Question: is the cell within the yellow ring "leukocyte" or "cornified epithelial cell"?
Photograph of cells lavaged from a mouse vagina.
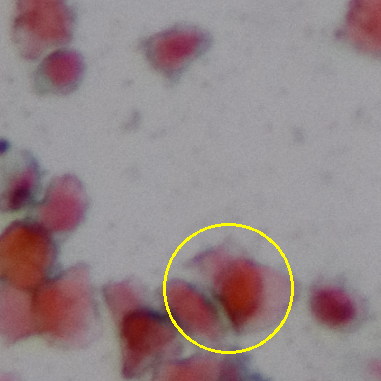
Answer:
cornified epithelial cell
